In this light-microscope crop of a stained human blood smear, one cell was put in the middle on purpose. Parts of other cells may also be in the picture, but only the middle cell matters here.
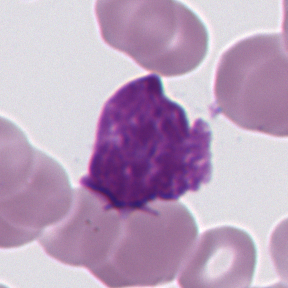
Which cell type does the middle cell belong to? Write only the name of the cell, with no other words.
smudge cell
